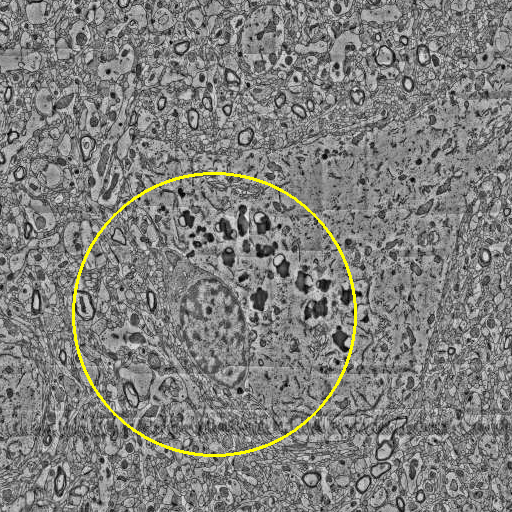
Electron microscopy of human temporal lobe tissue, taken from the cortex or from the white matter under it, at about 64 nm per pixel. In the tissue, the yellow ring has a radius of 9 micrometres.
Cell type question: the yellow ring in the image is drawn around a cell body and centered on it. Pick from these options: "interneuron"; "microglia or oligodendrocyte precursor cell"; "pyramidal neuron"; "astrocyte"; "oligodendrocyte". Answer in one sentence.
The ringed cell at the center is an oligodendrocyte.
